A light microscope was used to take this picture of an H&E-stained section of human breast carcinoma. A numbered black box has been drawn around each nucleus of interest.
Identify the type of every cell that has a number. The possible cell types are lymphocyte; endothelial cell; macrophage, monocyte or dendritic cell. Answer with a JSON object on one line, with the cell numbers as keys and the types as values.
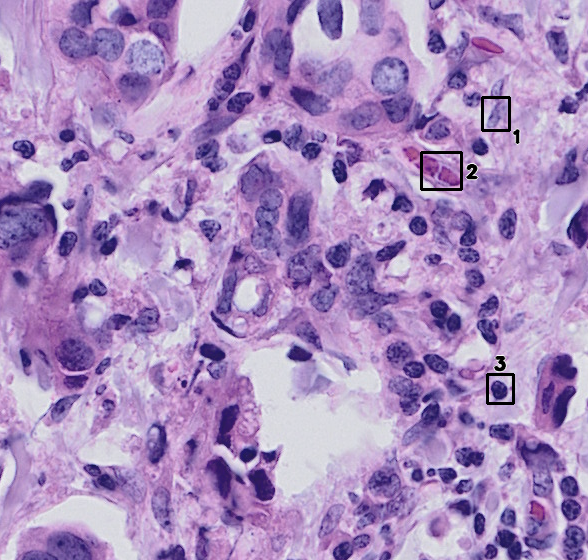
{"1": "macrophage, monocyte or dendritic cell", "2": "endothelial cell", "3": "lymphocyte"}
